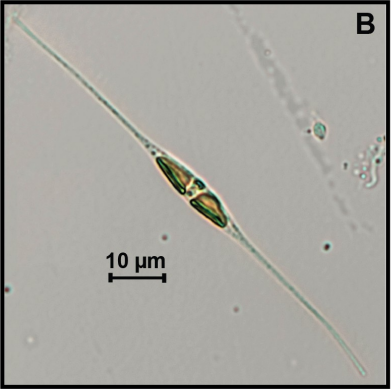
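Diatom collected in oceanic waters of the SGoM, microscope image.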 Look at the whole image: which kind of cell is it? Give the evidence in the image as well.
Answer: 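A small spindle-shaped cell with a swollen central part holding brown plastids. Both ends are drawn out into very long thin hyaline processes. The whole cell is much longer than wide.
Cylindrotheca.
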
